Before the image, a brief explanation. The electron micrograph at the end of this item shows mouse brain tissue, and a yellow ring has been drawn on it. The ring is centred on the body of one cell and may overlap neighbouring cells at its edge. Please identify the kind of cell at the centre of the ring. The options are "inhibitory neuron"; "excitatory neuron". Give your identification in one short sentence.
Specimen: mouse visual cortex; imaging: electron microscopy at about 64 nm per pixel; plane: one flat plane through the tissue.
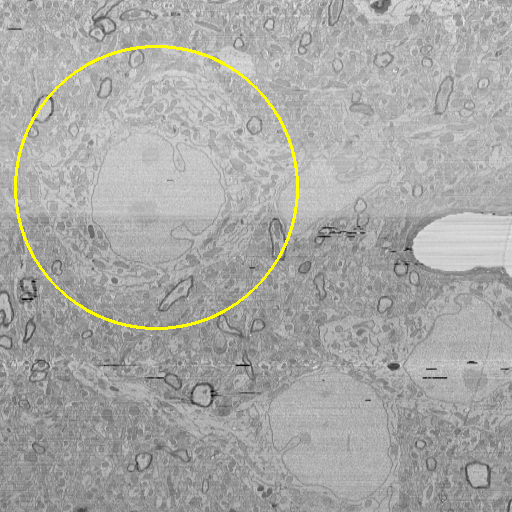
The ring has been placed around an inhibitory neuron.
